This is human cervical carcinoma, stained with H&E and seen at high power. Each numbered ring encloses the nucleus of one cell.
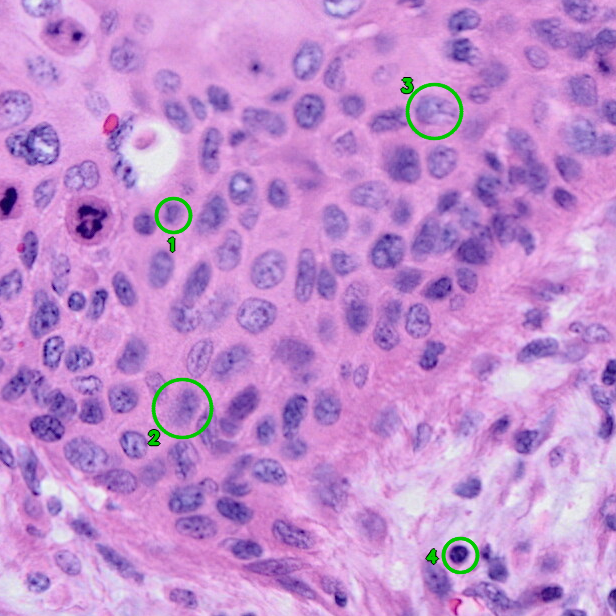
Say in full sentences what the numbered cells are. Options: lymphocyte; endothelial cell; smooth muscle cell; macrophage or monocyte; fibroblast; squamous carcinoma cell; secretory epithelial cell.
Cells 1, 2 and 3 are squamous carcinoma cells. Cell 4 is a lymphocyte.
